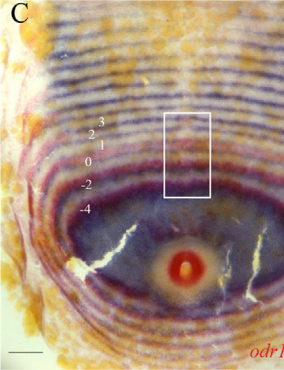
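Narrow transverse stripes of blue and red staining run across the germ band, lying close together and regularly spaced in the upper part. Towards the rear the stripes bend into broad concentric arcs that wrap around a large, more evenly stained rounded field at the hind end. In the middle of this field sits a pale round structure whose centre is stained red. Along the edges the tissue is torn in places and some brownish-yellow material lies at the margins. A white box marks a strip that spans the transition from the closely set anterior stripes to the wide posterior arcs.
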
